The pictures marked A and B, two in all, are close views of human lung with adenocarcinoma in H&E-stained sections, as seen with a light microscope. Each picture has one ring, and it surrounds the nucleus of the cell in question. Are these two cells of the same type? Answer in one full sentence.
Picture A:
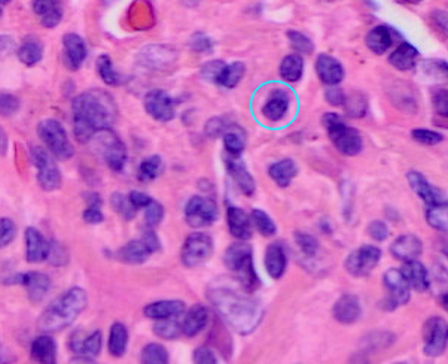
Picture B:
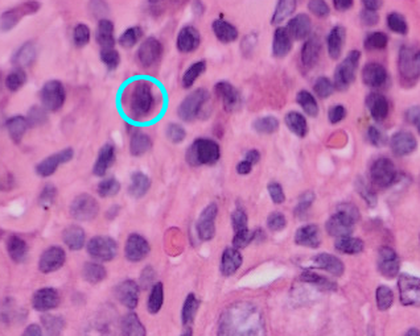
No; the cell in picture A is a lymphocyte, while the one in picture B is a plasma cell.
